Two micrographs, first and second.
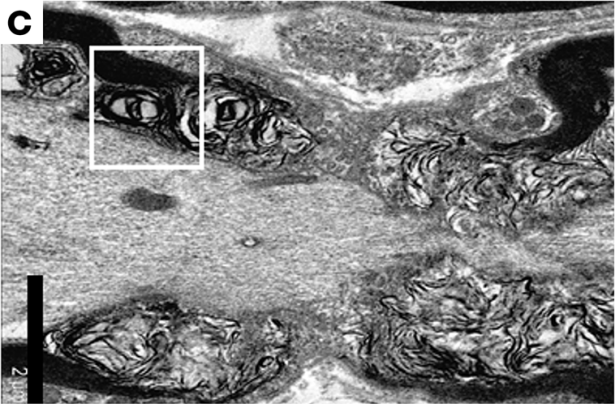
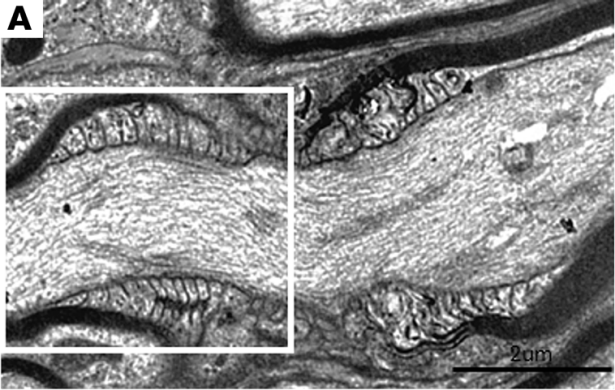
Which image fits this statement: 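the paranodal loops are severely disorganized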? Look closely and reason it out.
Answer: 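The first image. First image: the myelin ends form tangled whorls of membrane without regular loops. Second image: the myelin ends form neat rows of loops along the axon.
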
